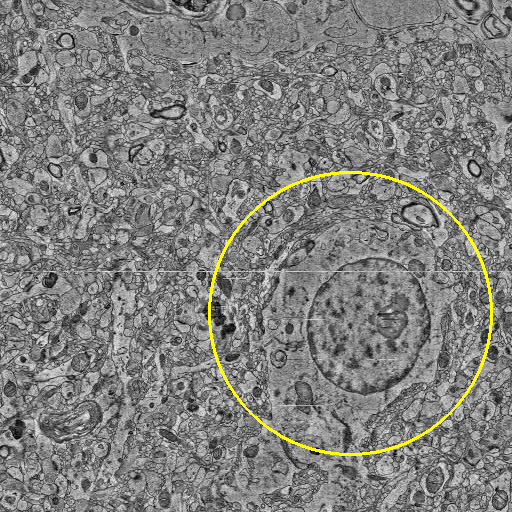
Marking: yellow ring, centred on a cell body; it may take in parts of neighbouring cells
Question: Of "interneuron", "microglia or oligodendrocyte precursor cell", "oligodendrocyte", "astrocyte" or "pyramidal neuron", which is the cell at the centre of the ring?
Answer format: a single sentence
The ring surrounds the body of an astrocyte.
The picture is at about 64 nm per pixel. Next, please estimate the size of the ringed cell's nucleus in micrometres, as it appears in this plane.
About 9 by 8 micrometers for the nucleus, in this plane.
